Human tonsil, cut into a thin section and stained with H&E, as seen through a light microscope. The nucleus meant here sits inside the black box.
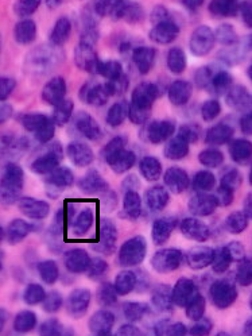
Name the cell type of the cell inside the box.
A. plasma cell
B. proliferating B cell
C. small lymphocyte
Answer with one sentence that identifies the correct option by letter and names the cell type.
Option C is right in classifying the cell inside the box as a small lymphocyte.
